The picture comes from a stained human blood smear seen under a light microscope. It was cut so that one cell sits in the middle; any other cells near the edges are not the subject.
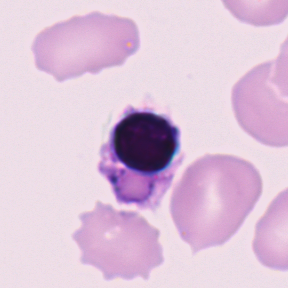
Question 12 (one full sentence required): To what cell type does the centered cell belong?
The centered cell in this crop is an erythroblast.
